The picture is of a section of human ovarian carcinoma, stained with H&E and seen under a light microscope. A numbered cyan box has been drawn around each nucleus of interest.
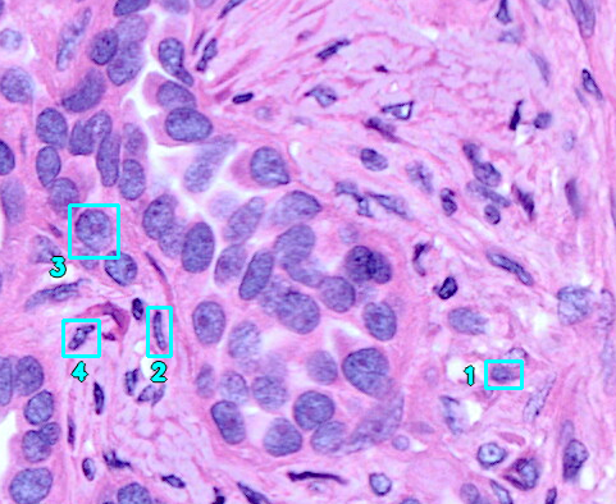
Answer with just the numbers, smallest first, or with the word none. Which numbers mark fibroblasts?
1, 2, 4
